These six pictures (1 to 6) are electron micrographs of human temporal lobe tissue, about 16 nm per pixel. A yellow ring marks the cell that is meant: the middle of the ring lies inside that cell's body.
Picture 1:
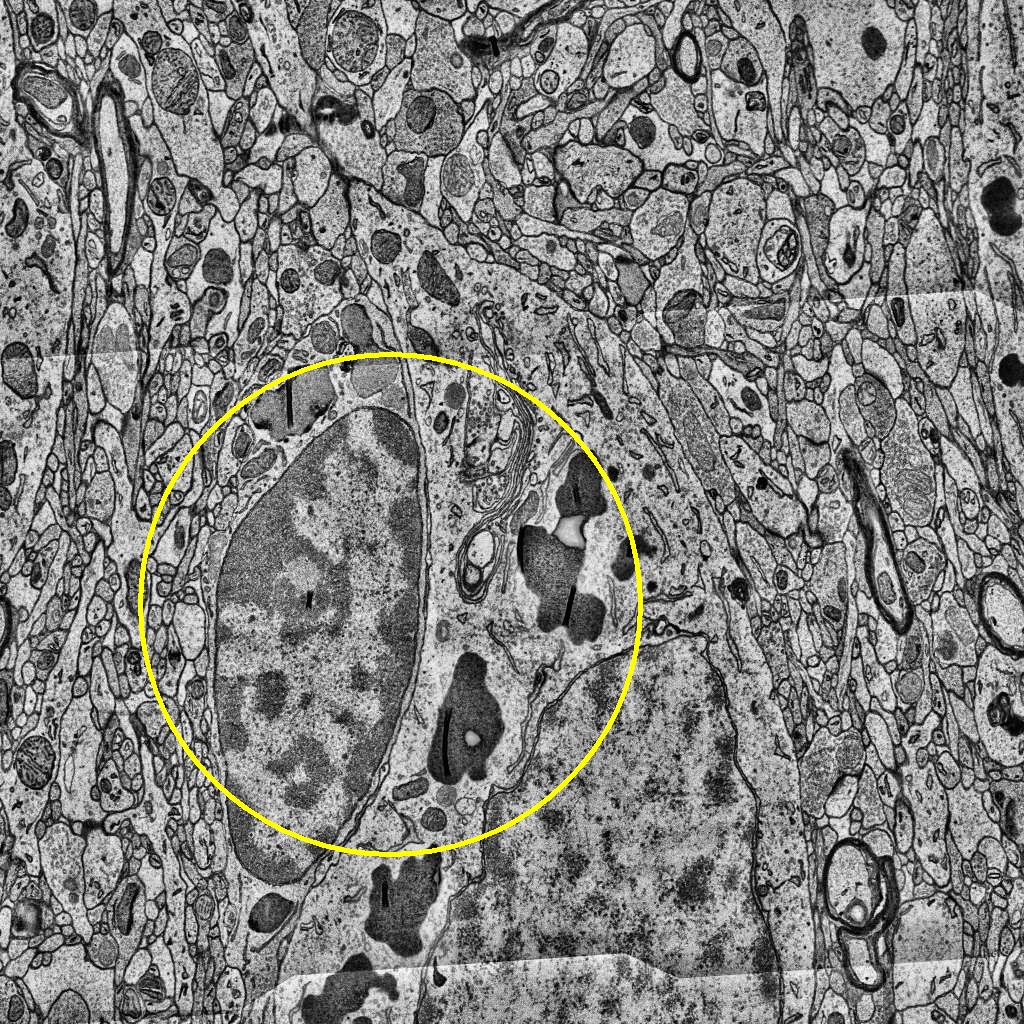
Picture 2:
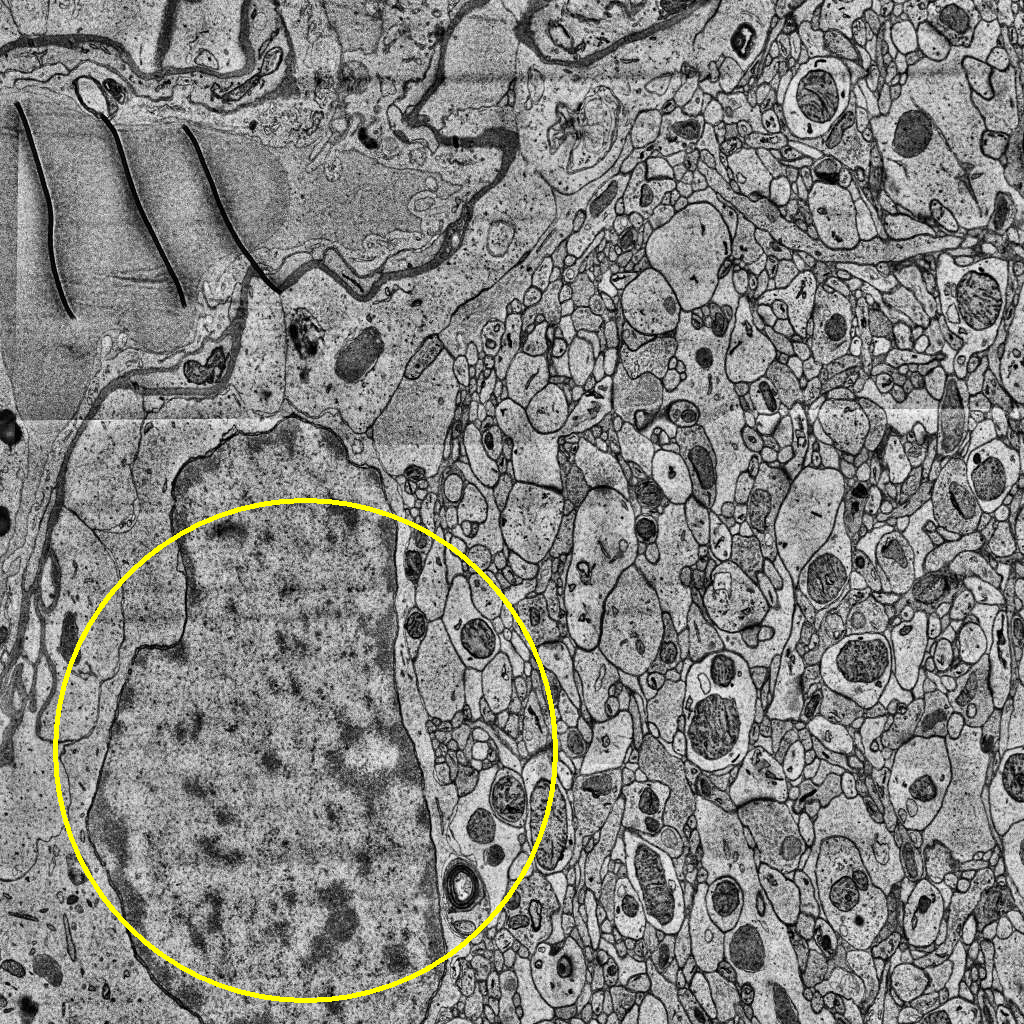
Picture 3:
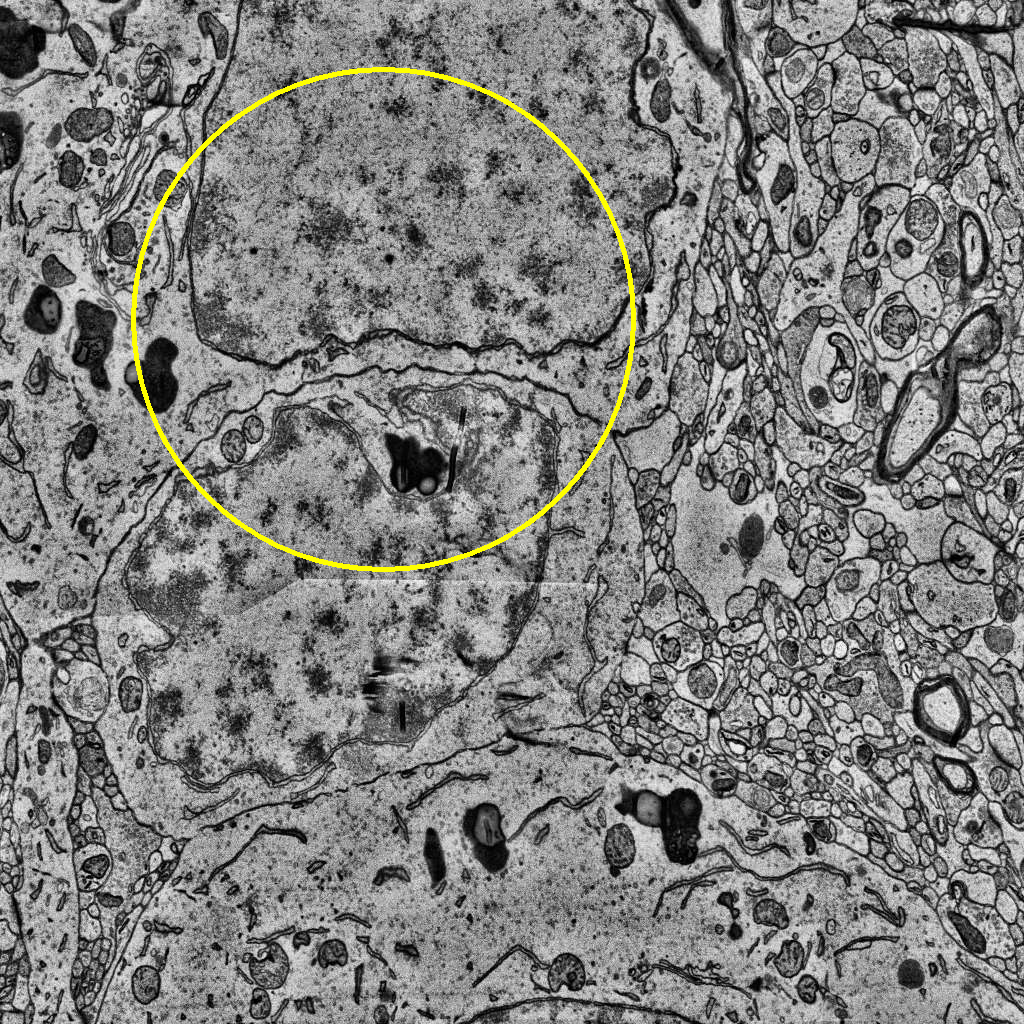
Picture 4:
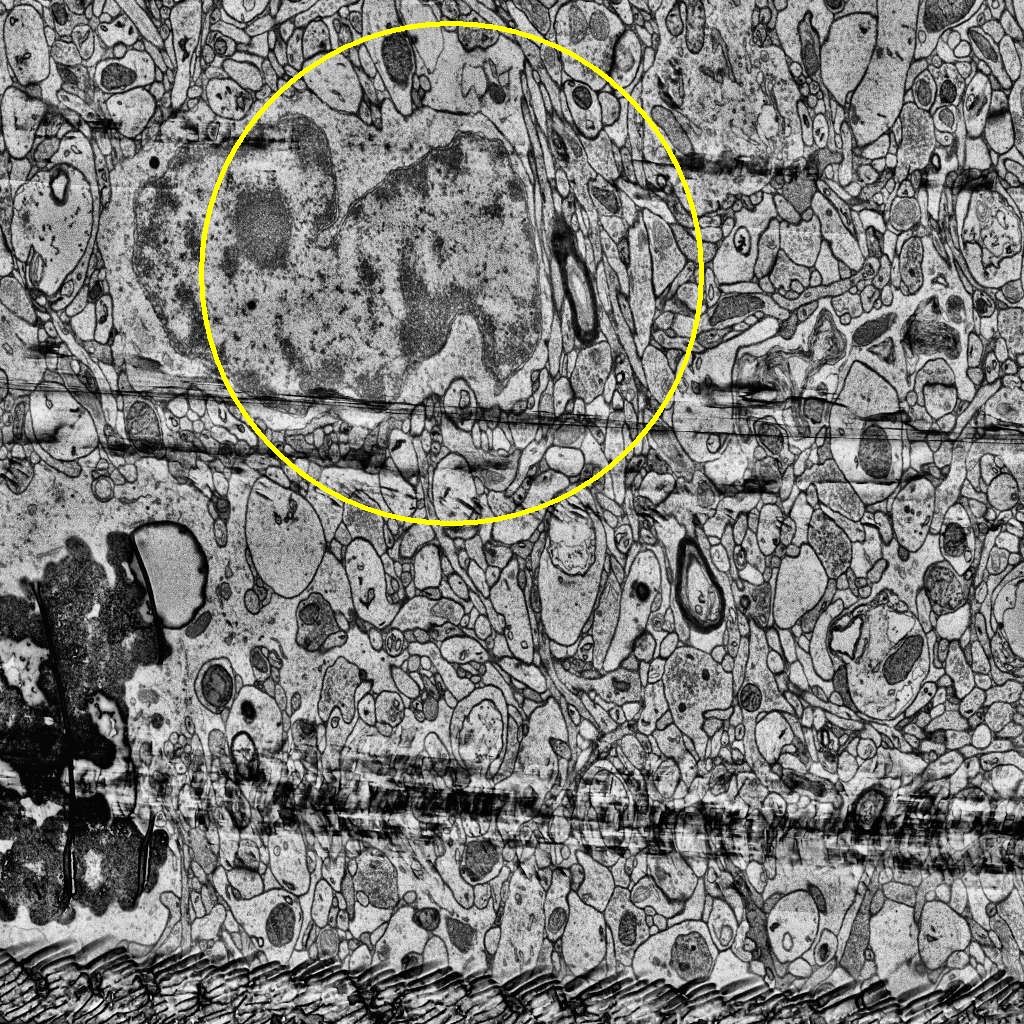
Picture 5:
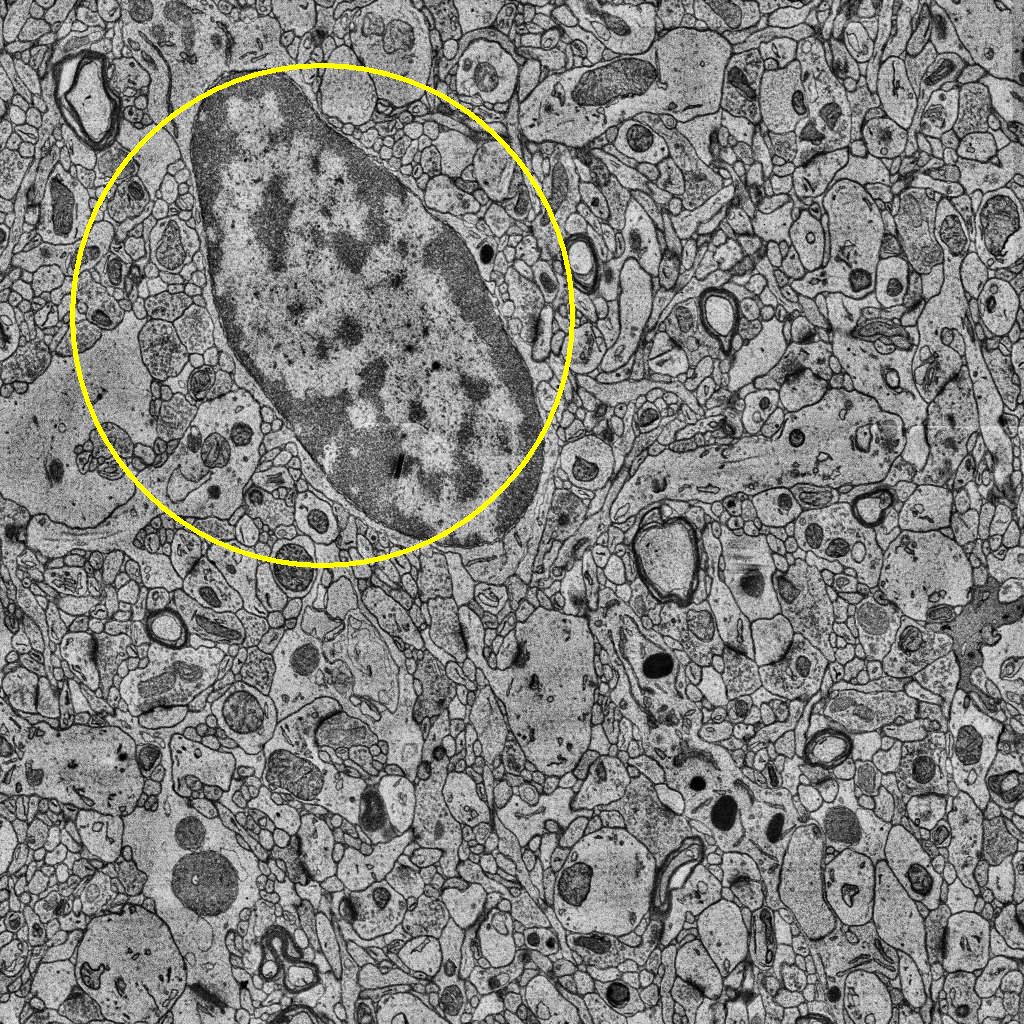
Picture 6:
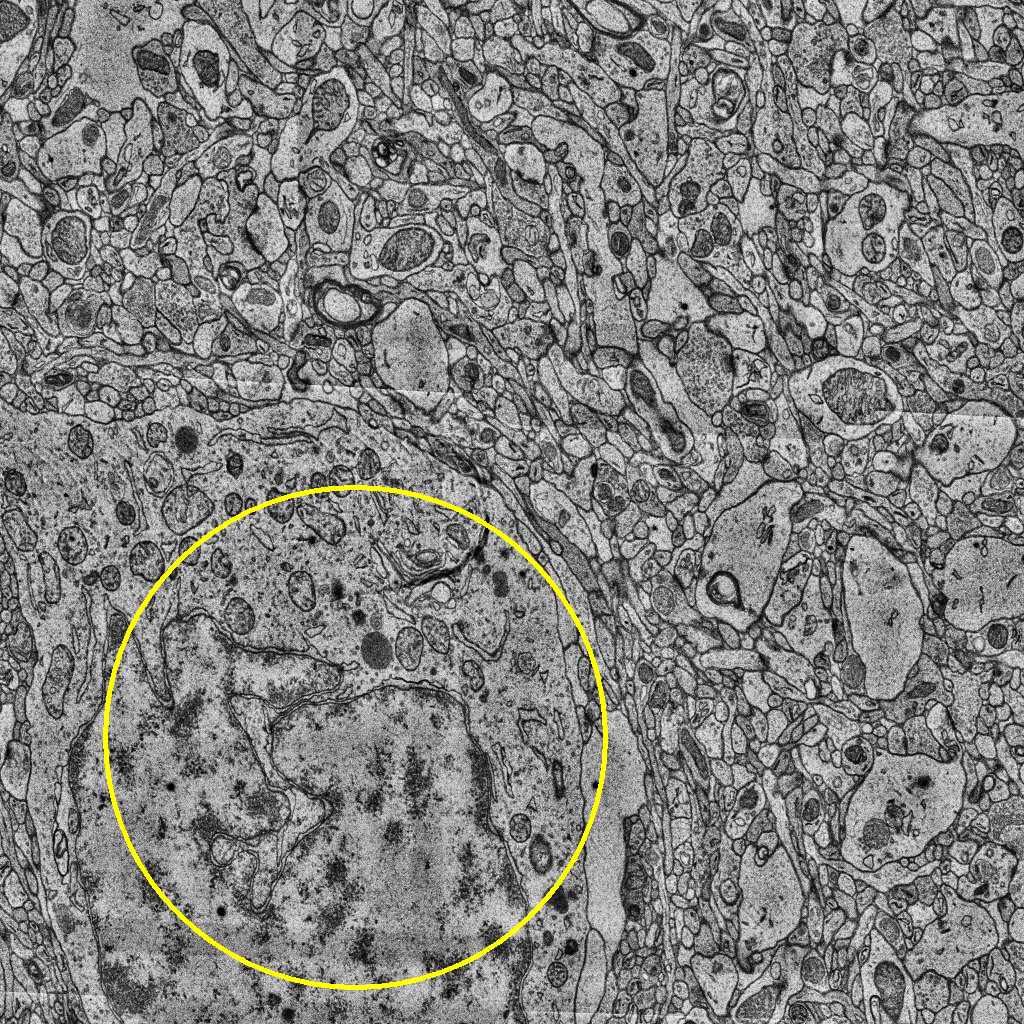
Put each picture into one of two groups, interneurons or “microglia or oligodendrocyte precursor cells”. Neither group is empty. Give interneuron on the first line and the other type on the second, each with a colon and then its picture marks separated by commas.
interneuron: 3, 6
microglia or oligodendrocyte precursor cell: 1, 2, 4, 5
